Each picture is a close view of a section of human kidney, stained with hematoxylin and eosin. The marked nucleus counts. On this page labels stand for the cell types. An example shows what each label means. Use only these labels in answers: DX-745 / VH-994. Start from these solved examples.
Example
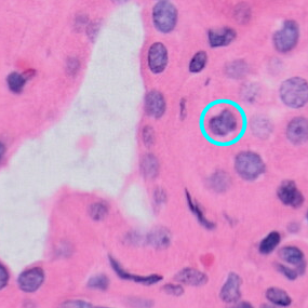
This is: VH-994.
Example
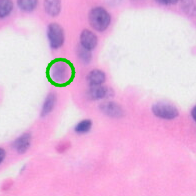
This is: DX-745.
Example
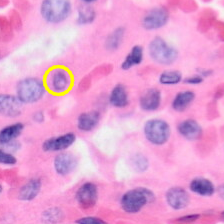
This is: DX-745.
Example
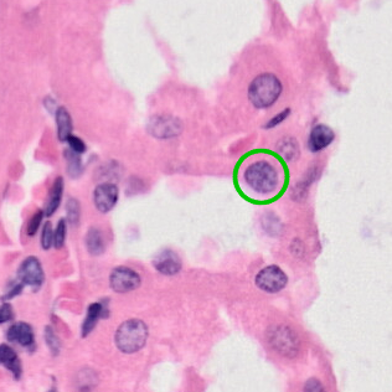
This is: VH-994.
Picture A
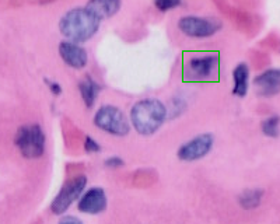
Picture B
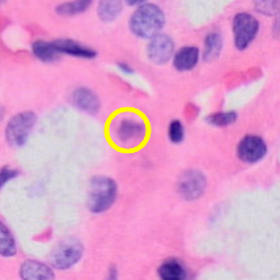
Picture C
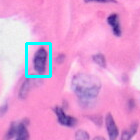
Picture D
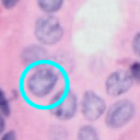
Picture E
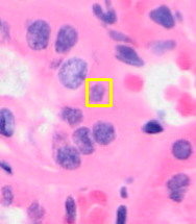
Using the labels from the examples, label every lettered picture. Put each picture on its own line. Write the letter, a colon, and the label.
A: DX-745.
B: VH-994.
C: DX-745.
D: DX-745.
E: DX-745.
